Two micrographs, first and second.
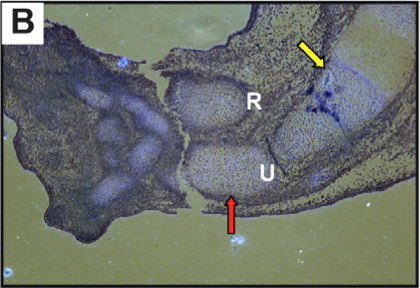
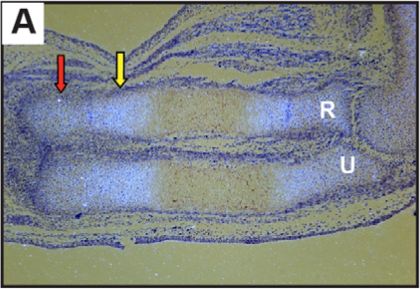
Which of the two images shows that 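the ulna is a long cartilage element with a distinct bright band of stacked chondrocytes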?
The second image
